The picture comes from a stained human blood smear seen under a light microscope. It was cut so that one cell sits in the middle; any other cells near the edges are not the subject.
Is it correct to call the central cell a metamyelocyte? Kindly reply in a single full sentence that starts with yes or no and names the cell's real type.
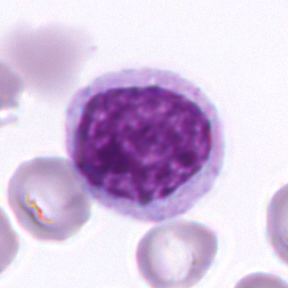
No, the centre of the crop is taken up by a myelocyte, not a metamyelocyte.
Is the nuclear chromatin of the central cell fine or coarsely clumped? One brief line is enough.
In this nucleus, the chromatin is arranged in coarse clumps.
